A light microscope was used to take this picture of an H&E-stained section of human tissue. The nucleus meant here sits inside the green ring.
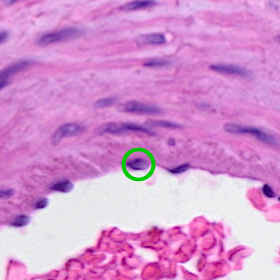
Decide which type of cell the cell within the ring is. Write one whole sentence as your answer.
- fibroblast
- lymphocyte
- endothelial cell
Histopathologically, the cell within the ring is an endothelial cell.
